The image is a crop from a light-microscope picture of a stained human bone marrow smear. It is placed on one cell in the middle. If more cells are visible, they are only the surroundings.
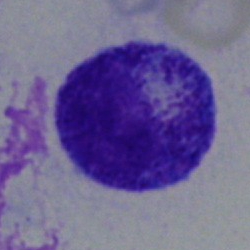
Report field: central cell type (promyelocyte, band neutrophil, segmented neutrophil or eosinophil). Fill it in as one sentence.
The cell at the middle of the frame should be recorded as a promyelocyte.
